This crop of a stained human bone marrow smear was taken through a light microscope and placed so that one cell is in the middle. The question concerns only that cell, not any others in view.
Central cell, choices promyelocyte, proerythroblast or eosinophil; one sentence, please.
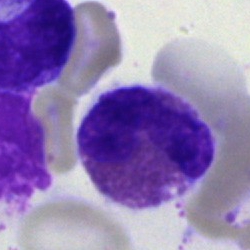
The cell nearest the centre of this crop is an eosinophil.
